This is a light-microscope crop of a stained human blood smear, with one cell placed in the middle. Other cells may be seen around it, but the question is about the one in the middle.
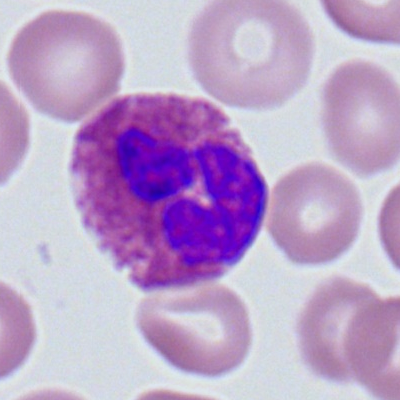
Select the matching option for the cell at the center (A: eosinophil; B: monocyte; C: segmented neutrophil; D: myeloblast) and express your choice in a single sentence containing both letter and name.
The one to choose is option A, as the cell in the middle is an eosinophil.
